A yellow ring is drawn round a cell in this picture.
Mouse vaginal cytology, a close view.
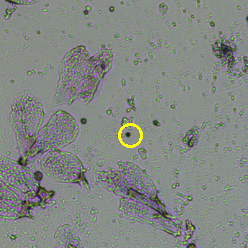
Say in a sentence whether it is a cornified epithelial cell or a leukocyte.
The cell in the ring is a leukocyte.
